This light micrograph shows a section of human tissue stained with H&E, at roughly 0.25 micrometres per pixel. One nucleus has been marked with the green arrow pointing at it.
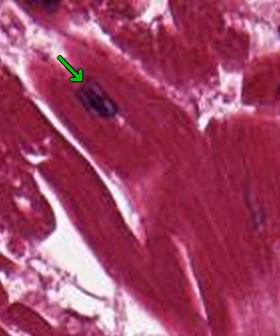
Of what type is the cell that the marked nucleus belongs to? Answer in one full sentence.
The marked nucleus is the nucleus of a cardiomyocyte.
